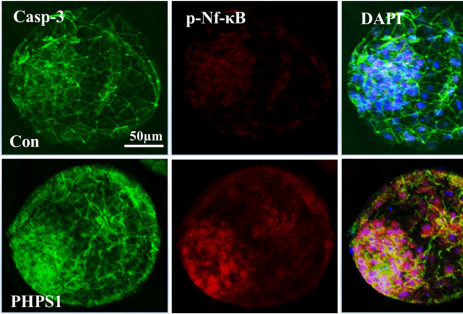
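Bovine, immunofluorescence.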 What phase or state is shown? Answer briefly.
Blastocysts.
